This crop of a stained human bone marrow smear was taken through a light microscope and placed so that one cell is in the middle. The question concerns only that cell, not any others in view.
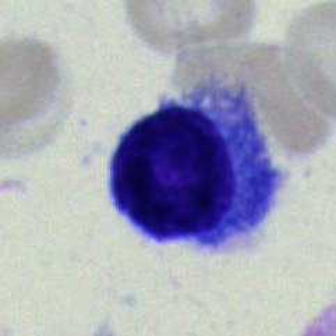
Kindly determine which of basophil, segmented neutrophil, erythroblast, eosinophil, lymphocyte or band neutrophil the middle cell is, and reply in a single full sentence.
In short, the cell at the center is a lymphocyte.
